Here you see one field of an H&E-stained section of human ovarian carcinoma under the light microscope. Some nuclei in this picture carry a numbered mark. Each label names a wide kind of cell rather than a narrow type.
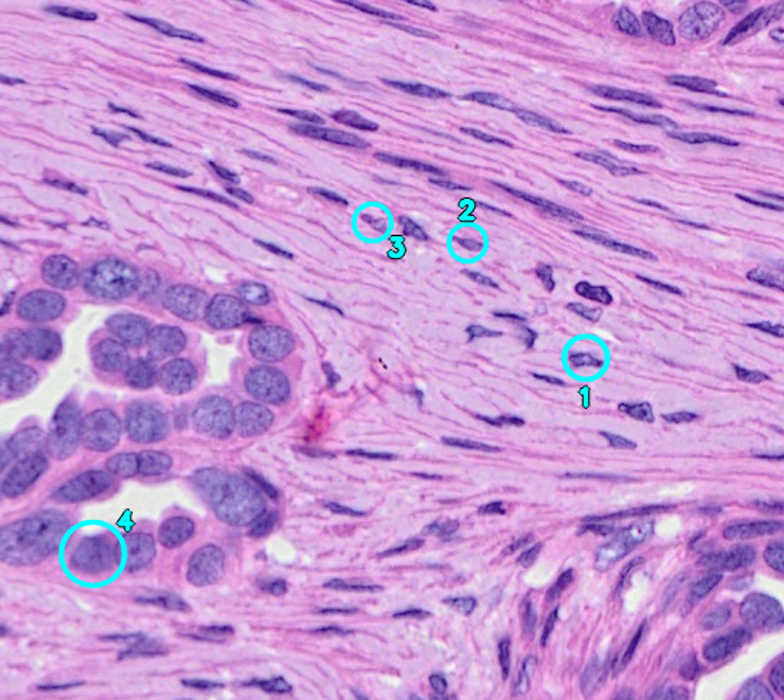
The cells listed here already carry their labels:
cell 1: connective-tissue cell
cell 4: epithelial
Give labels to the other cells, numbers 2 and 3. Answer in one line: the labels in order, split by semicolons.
connective-tissue cell; connective-tissue cell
